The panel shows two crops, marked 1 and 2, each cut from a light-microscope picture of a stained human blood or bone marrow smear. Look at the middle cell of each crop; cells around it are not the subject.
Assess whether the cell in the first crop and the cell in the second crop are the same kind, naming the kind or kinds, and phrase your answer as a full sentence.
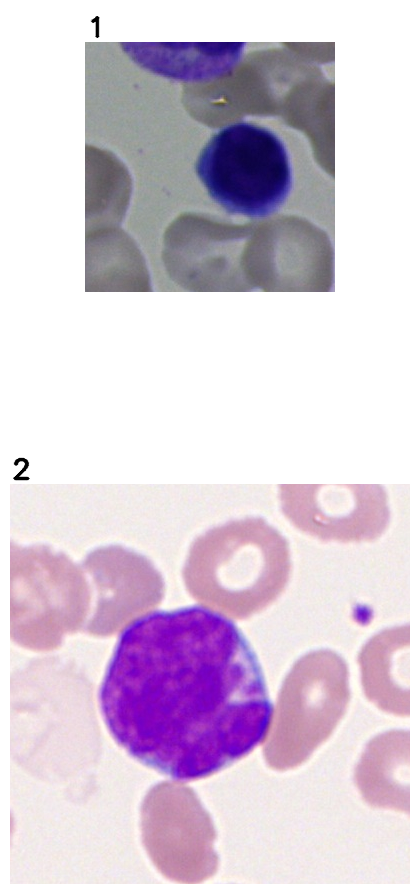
No, a lymphocyte is the subject of crop 1, and a blast is the subject of crop 2.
